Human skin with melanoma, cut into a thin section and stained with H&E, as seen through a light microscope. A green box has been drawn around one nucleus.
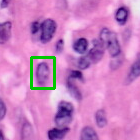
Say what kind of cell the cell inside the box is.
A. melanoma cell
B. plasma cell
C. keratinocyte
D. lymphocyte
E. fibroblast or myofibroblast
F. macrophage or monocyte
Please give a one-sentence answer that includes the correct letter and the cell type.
Identified correctly by option F, the cell inside the box is a macrophage or monocyte.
